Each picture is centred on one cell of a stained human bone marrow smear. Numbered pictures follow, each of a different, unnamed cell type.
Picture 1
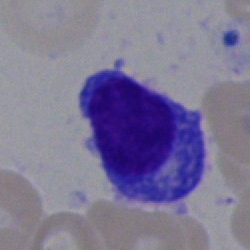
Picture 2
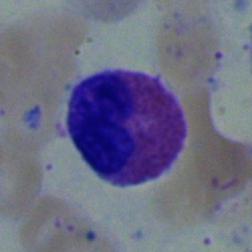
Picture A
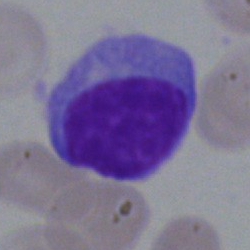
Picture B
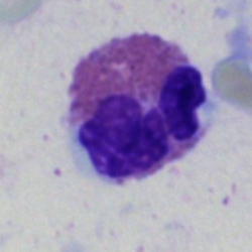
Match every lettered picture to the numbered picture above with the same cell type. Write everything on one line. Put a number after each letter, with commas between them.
A 1, B 2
